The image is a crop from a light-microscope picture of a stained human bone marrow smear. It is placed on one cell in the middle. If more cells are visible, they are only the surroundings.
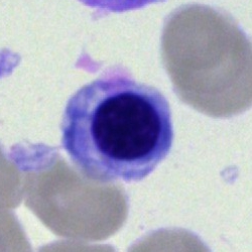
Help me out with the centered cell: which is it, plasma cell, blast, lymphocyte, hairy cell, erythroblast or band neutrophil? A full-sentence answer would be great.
The center cell of this crop is an erythroblast.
